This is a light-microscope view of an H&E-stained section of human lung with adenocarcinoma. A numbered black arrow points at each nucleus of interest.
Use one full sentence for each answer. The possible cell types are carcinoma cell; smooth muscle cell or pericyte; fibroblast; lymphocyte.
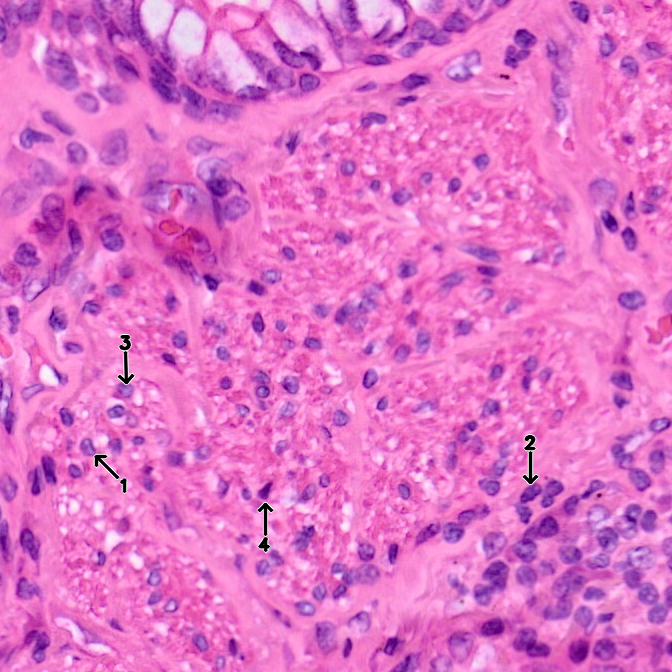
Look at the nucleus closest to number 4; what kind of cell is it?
Closest to number 4 lies the nucleus of a smooth muscle cell or pericyte.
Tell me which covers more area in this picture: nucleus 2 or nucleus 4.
It is nucleus 2, which covers about 1.5 times the area of nucleus 4.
